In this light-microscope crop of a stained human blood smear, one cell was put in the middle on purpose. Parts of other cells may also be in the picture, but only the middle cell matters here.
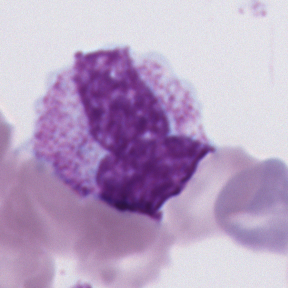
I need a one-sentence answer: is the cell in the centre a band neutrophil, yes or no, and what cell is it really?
Yes, the cell that the crop is centred on is a band neutrophil.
